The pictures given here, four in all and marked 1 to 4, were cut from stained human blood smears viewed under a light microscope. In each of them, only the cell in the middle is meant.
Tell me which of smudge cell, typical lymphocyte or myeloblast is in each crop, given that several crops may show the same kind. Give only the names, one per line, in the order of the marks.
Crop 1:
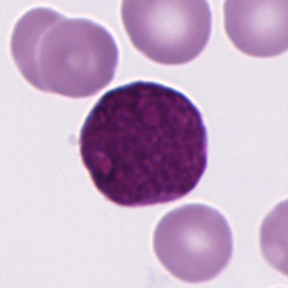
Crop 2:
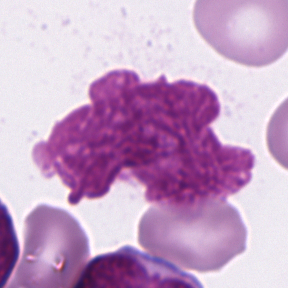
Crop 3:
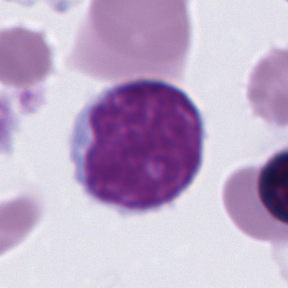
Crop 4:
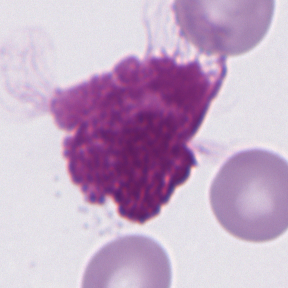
myeloblast
smudge cell
typical lymphocyte
smudge cell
